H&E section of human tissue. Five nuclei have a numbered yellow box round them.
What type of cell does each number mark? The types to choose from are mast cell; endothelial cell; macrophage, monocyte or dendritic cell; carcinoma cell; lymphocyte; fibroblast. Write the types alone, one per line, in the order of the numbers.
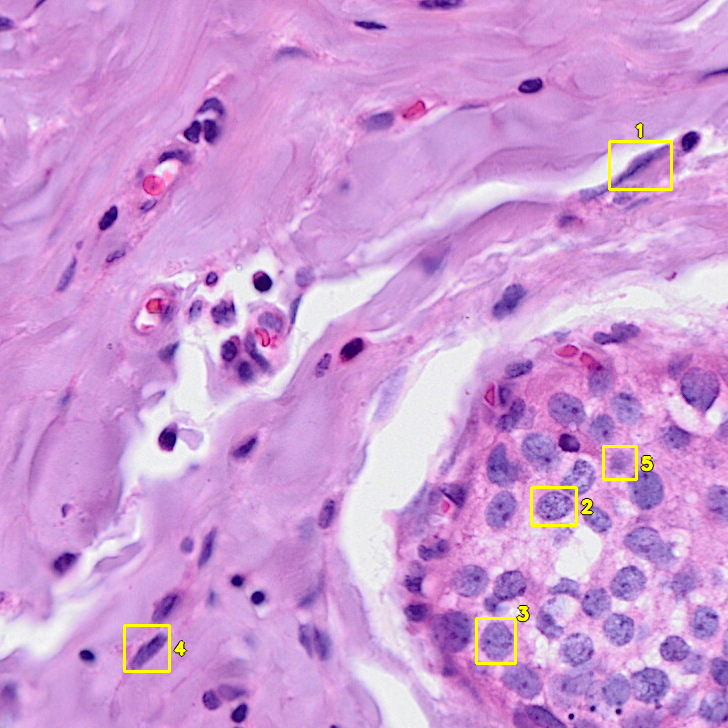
fibroblast
carcinoma cell
carcinoma cell
fibroblast
carcinoma cell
